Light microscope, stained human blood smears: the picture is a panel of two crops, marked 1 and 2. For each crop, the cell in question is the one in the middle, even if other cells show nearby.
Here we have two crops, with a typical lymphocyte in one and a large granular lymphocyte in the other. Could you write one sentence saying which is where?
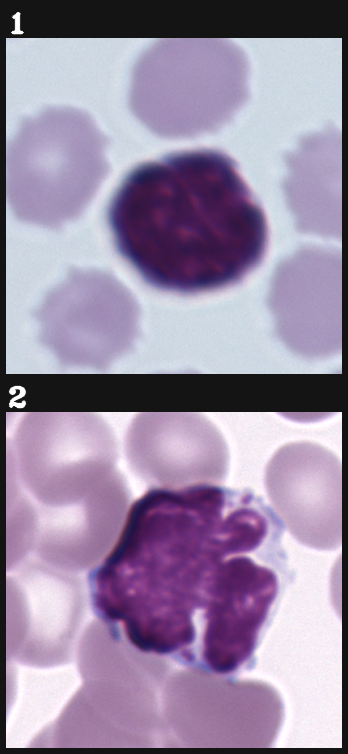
The cell in crop 1 is a typical lymphocyte, and the one in crop 2 is a large granular lymphocyte.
